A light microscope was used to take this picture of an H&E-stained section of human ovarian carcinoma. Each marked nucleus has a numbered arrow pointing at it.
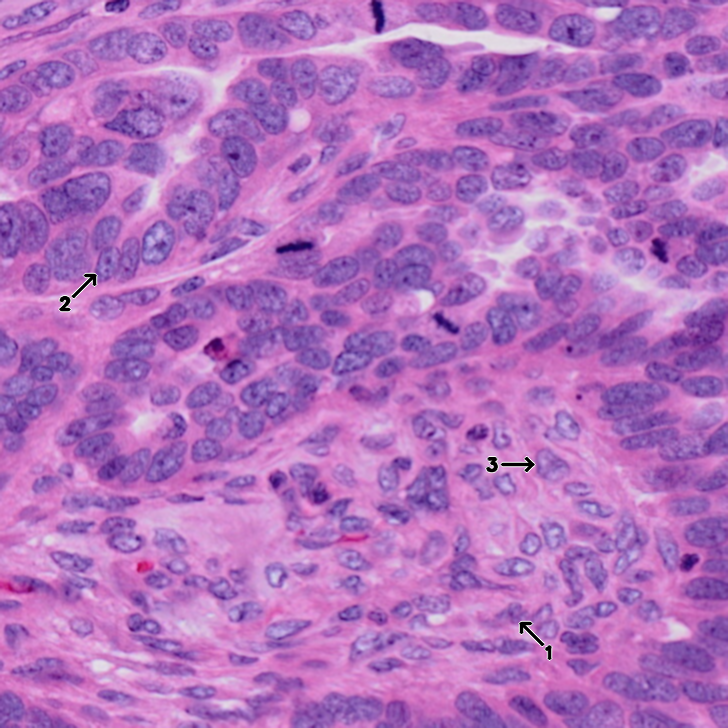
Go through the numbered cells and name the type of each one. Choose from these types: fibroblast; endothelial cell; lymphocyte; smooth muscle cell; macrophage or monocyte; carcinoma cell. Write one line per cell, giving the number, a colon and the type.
1: fibroblast
2: carcinoma cell
3: fibroblast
